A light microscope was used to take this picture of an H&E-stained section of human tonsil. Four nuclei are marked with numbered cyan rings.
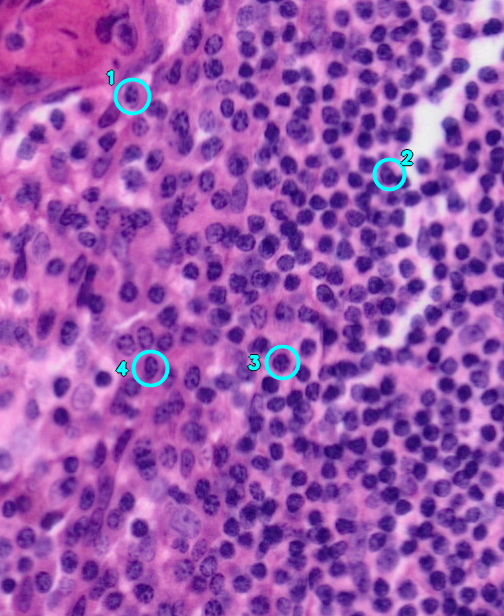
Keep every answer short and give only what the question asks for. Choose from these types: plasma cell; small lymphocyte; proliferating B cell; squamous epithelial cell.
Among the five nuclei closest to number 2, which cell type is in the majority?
small lymphocyte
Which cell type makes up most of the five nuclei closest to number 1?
squamous epithelial cell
